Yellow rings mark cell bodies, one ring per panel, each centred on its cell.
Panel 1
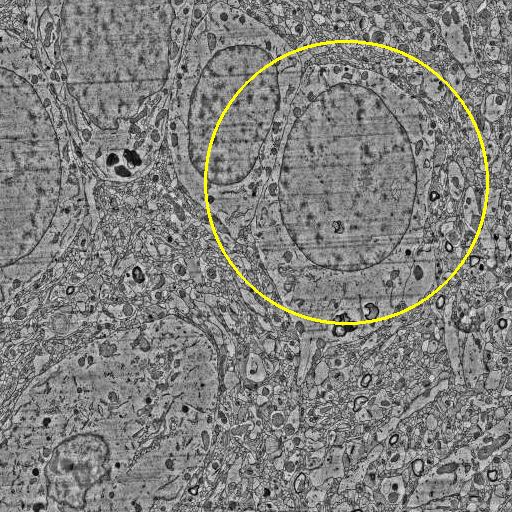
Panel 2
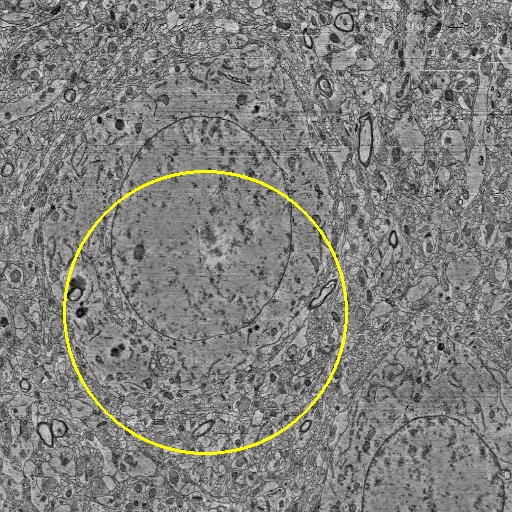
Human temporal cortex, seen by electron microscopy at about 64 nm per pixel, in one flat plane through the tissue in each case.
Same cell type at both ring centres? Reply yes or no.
yes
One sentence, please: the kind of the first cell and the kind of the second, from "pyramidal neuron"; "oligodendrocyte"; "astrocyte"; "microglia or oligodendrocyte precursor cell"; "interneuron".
Each of the two rings is centred on a pyramidal neuron.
